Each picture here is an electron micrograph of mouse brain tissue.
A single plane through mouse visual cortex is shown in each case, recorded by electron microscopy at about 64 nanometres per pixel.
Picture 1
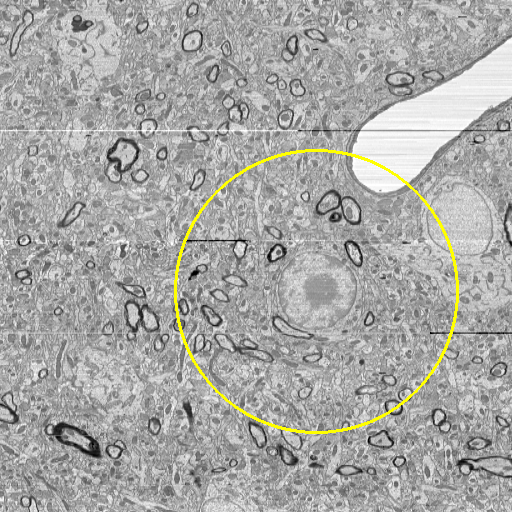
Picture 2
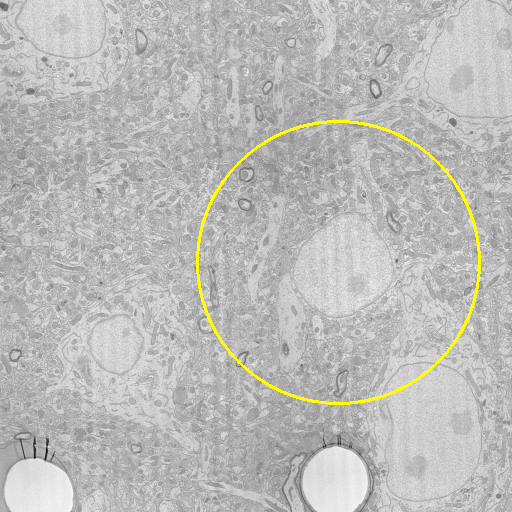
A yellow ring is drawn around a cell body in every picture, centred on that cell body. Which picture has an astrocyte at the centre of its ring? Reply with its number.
2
